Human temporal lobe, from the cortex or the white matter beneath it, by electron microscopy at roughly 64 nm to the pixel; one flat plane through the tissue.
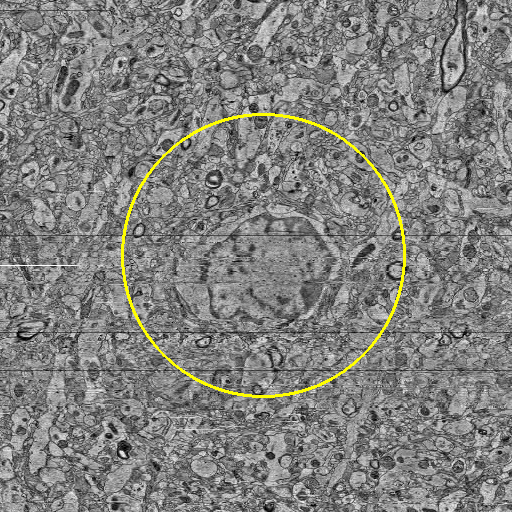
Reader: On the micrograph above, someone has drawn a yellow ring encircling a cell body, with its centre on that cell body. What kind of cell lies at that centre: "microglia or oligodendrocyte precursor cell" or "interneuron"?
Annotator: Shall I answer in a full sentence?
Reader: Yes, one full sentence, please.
Here a microglial cell or oligodendrocyte precursor cell sits at the centre of the yellow ring drawn on the micrograph.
